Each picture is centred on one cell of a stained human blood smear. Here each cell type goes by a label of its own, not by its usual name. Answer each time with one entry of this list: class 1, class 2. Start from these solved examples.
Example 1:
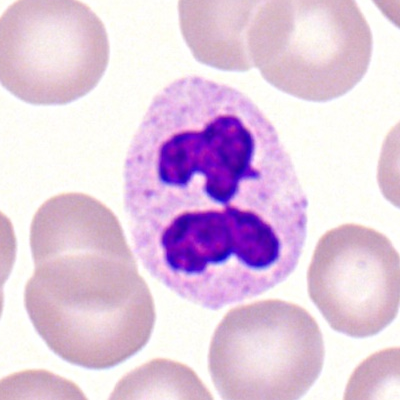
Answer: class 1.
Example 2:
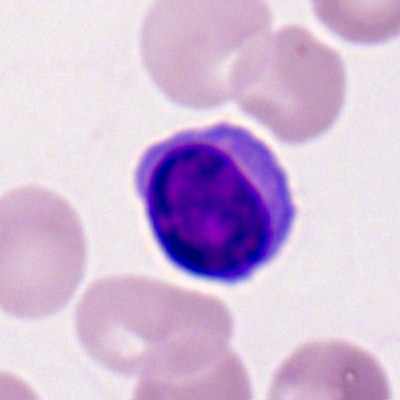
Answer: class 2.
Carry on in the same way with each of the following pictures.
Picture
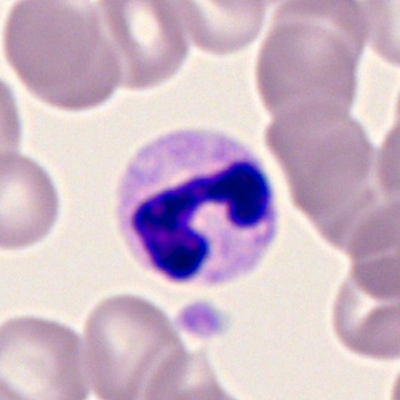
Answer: class 1.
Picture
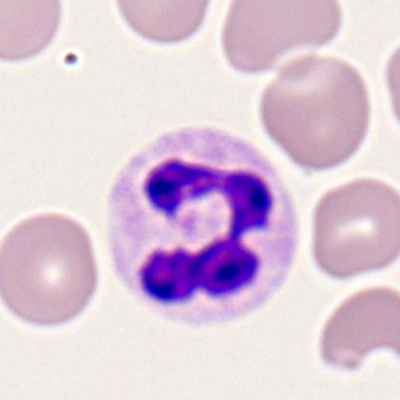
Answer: class 1.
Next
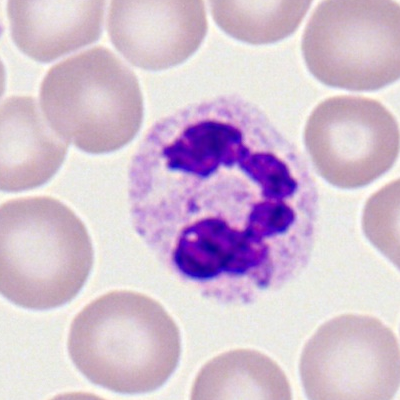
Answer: class 1.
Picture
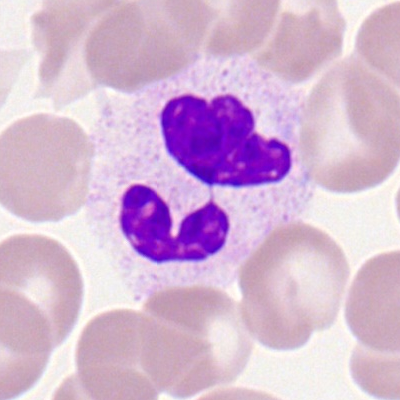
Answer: class 1.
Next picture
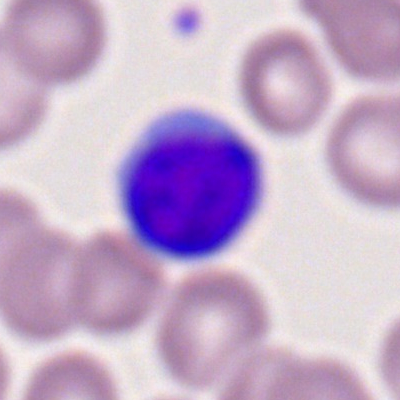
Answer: class 2.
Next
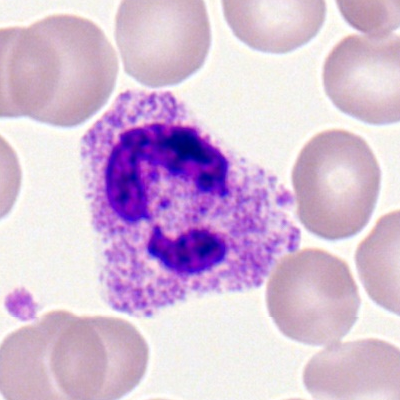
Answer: class 1.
